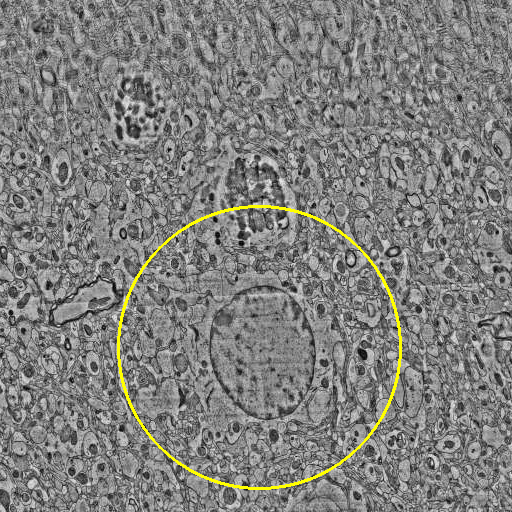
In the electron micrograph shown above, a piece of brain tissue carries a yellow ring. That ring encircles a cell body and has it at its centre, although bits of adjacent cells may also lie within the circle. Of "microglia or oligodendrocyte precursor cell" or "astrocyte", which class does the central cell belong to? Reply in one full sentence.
The cell body at the centre of the yellow ring belongs to an astrocyte.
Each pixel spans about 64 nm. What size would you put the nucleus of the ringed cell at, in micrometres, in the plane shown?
In this plane the nucleus measures roughly 8 by 7 micrometres.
